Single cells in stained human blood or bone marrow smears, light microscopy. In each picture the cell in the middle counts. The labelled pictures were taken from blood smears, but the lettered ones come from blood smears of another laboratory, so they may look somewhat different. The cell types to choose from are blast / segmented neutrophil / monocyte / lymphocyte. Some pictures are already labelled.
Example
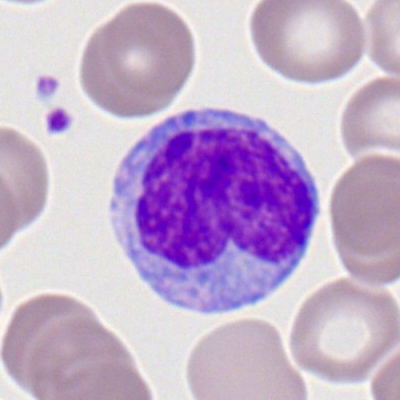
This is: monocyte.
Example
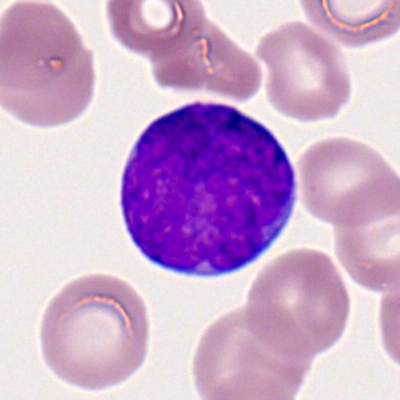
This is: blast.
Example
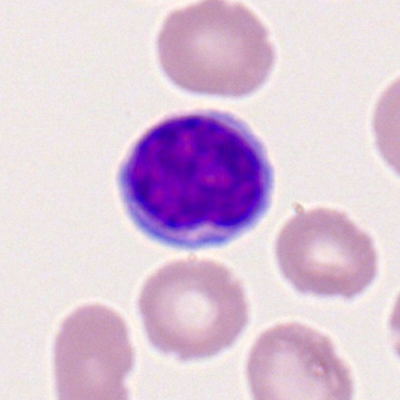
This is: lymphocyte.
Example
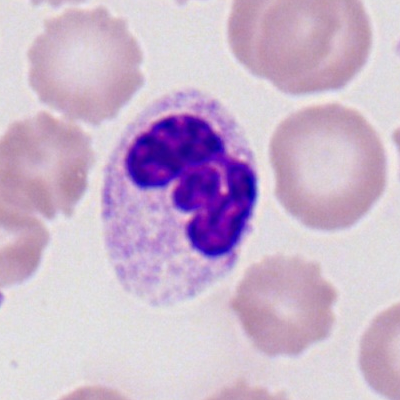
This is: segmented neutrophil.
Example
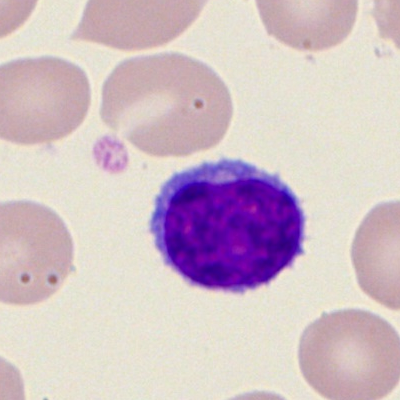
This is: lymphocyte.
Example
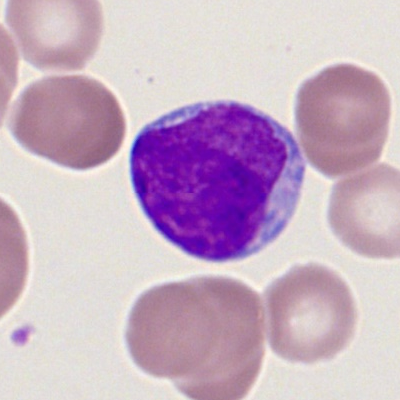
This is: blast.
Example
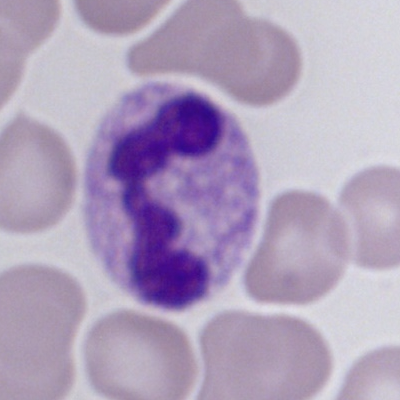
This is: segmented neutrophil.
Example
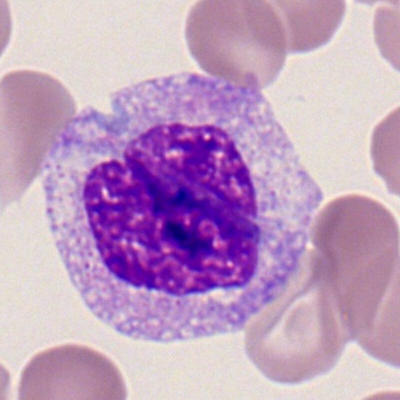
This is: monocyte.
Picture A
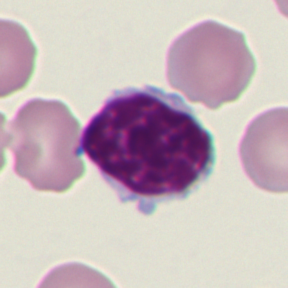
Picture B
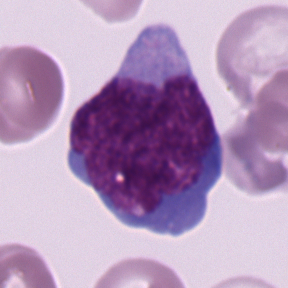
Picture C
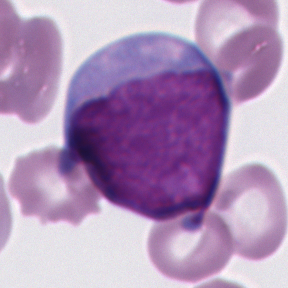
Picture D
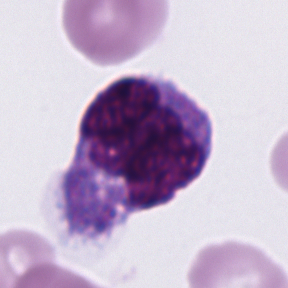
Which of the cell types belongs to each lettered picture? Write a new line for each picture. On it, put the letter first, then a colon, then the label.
A: lymphocyte.
B: blast.
C: blast.
D: monocyte.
